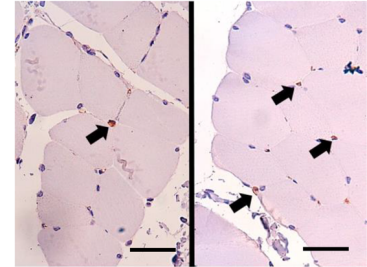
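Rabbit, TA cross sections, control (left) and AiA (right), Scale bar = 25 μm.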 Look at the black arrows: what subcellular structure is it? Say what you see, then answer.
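Each arrow points to a small oval brown-stained body. The brown bodies lie at fiber borders among the blue nuclei.
Nuclei.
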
